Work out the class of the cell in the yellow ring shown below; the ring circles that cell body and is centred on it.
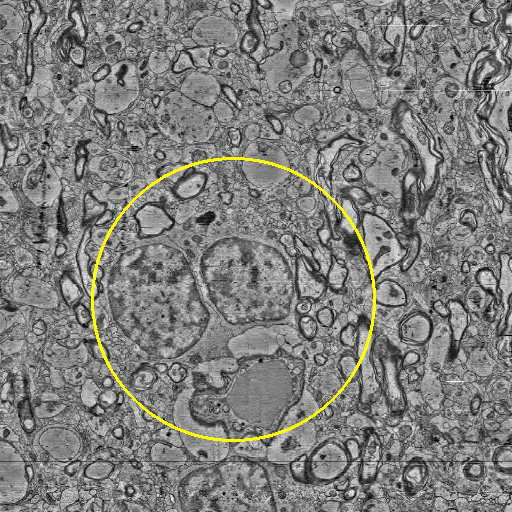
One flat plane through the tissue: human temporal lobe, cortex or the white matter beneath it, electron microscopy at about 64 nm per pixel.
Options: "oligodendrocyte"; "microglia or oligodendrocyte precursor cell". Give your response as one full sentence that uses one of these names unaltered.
The body ringed in yellow, right at the ring's centre, is that of an oligodendrocyte.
